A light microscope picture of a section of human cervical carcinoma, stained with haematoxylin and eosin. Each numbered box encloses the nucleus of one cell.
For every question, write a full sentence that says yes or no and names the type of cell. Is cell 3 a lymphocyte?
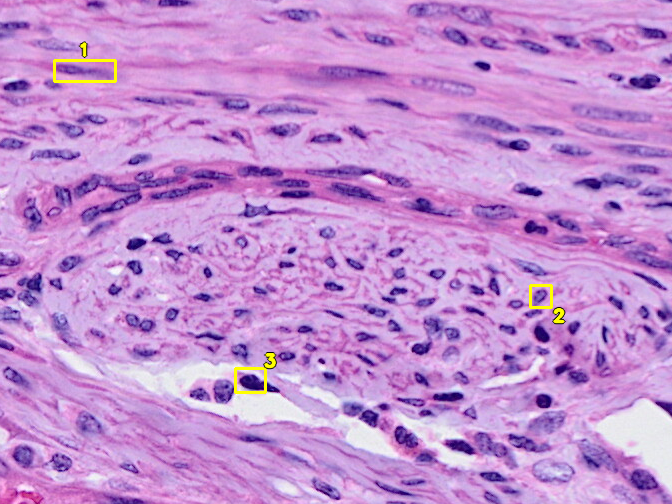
Yes, the cell with the number 3 is a lymphocyte.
